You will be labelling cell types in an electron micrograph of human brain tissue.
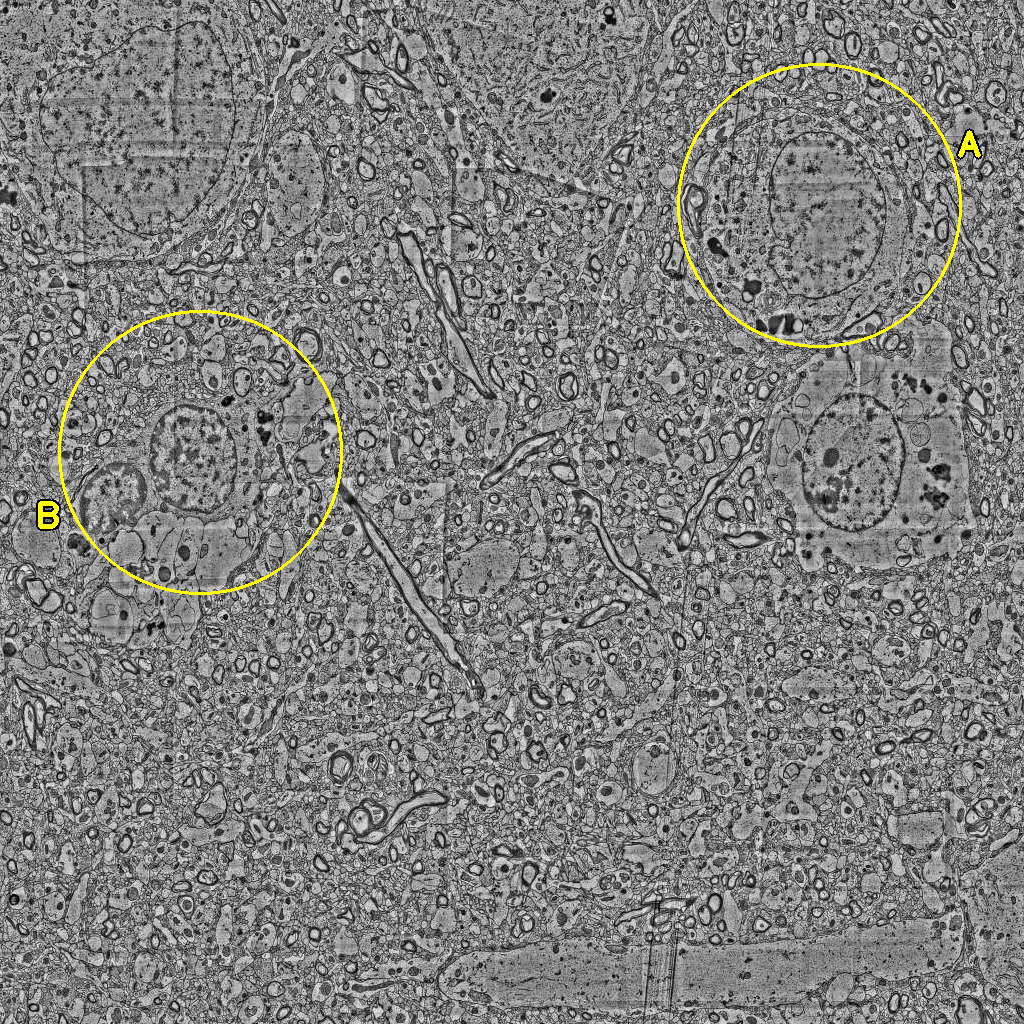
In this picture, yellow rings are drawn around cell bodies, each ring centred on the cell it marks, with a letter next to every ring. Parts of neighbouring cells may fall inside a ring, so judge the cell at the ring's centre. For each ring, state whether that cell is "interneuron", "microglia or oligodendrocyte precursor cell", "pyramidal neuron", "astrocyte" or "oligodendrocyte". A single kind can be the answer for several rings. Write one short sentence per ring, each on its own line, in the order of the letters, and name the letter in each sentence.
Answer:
Ring A contains a pyramidal neuron at its centre.
Ring B contains an oligodendrocyte at its centre.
